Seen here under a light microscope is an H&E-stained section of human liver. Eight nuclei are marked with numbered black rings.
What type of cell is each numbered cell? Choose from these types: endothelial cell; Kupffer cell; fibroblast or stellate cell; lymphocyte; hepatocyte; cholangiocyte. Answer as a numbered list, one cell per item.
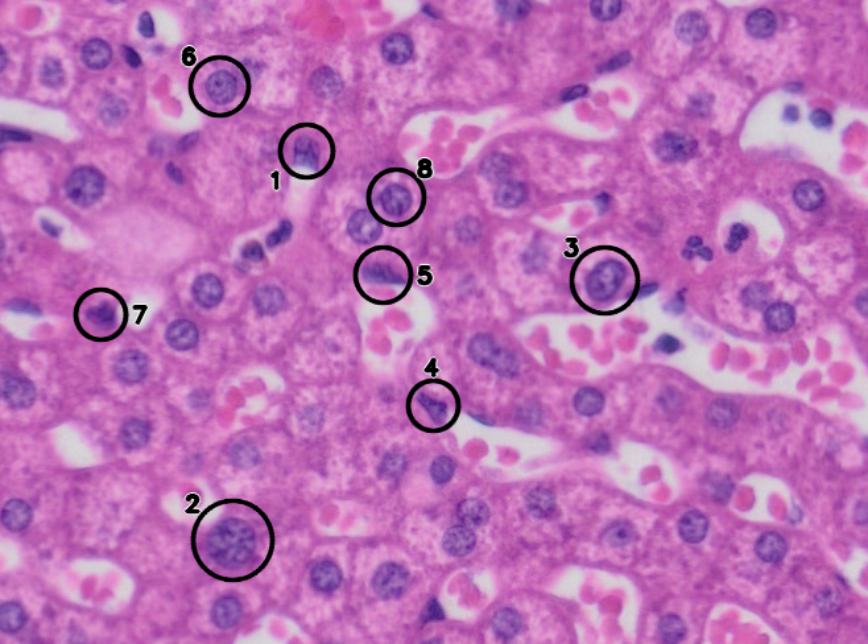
1. endothelial cell
2. hepatocyte
3. hepatocyte
4. fibroblast or stellate cell
5. endothelial cell
6. hepatocyte
7. fibroblast or stellate cell
8. hepatocyte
